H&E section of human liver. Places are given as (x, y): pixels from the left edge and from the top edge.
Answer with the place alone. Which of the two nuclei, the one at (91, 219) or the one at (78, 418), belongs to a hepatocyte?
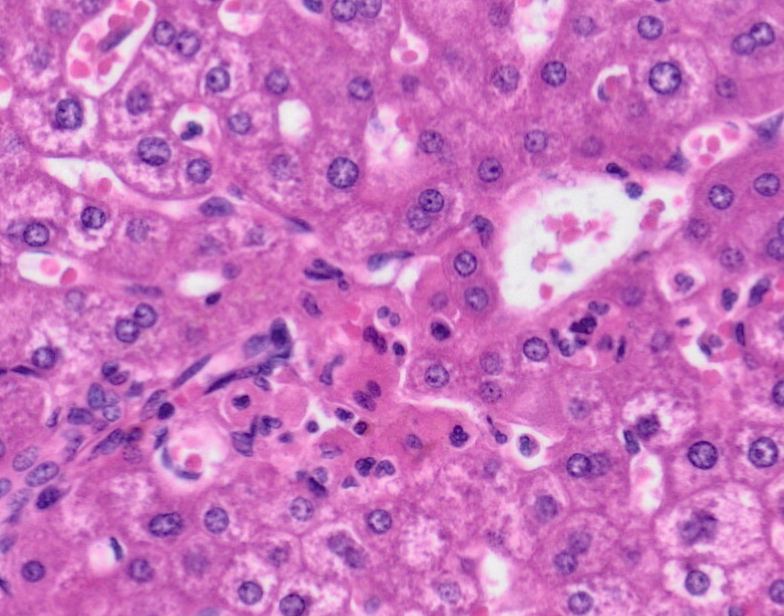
(91, 219)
